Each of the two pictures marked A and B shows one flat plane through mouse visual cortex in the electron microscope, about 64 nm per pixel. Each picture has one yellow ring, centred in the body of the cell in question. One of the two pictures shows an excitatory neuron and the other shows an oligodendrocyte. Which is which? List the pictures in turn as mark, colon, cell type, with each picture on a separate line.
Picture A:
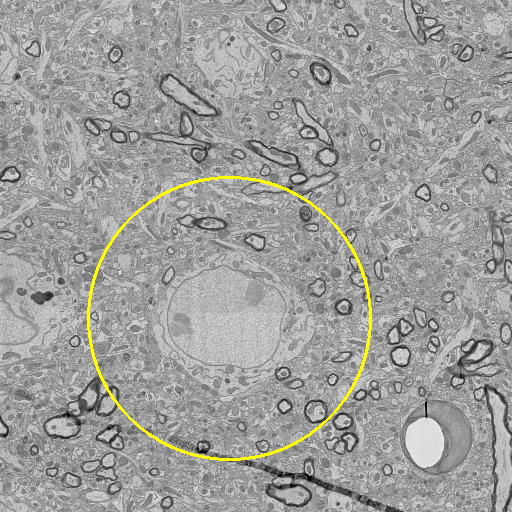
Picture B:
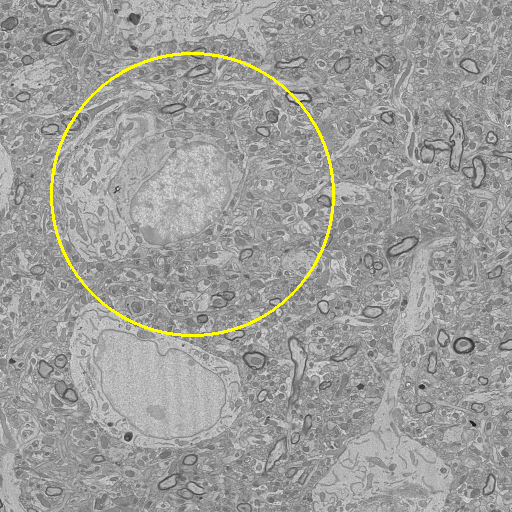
A: excitatory neuron
B: oligodendrocyte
